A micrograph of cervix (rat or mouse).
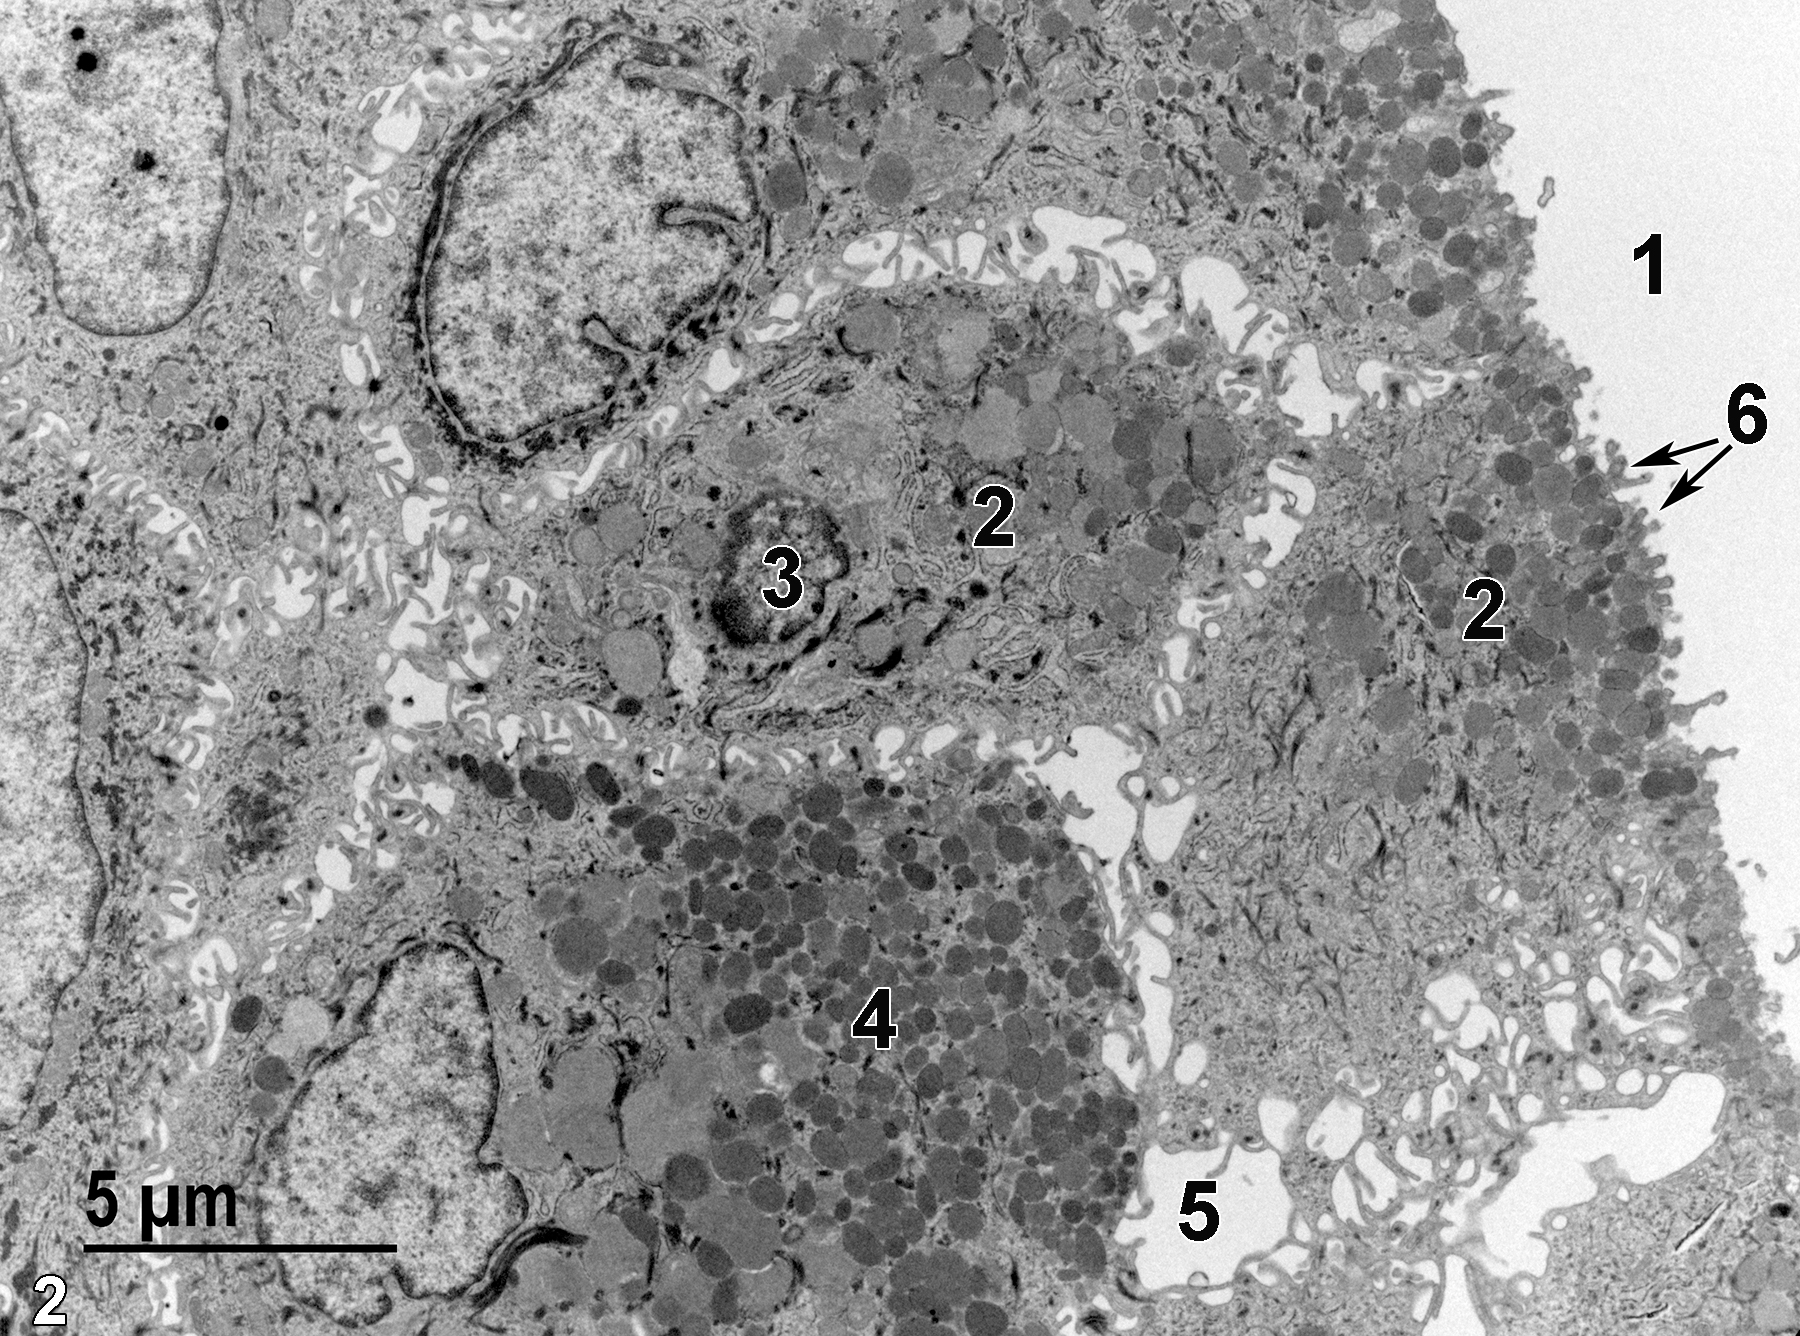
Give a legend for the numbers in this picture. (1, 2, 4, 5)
1: cervical lumen
2: mucus cell
4: mucigen granules
5: intercellular space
